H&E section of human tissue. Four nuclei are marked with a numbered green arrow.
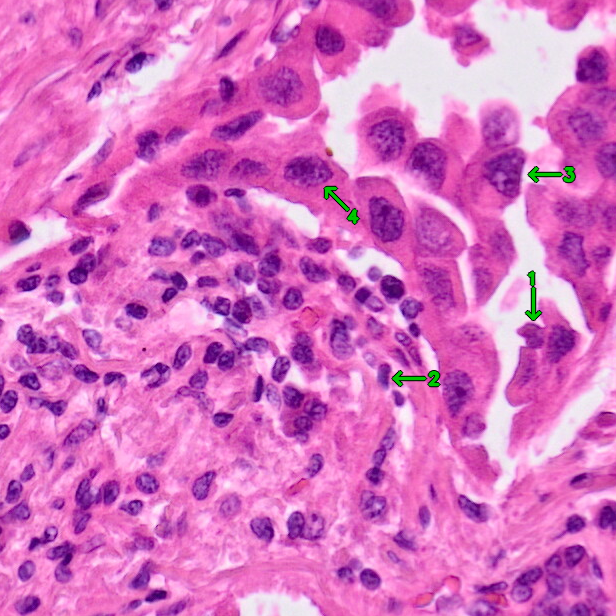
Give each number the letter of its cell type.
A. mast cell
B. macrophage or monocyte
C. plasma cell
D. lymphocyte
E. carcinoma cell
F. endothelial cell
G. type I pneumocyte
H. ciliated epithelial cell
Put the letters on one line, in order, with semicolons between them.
E; D; E; E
